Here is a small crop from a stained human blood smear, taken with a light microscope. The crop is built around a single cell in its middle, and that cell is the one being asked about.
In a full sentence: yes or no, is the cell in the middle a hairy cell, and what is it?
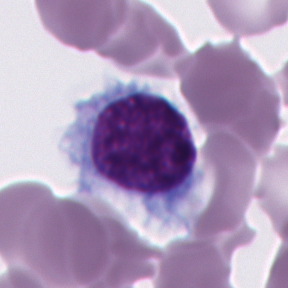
Yes, a hairy cell is the cell positioned in the middle of the field.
